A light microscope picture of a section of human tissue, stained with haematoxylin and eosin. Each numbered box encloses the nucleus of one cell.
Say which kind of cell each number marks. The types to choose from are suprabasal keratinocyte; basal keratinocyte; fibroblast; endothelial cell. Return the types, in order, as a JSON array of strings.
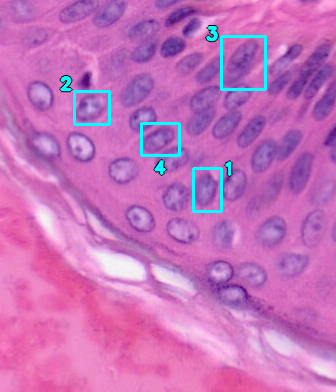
["suprabasal keratinocyte", "suprabasal keratinocyte", "basal keratinocyte", "suprabasal keratinocyte"]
